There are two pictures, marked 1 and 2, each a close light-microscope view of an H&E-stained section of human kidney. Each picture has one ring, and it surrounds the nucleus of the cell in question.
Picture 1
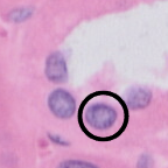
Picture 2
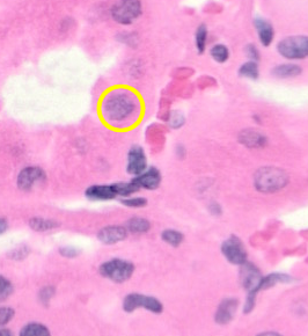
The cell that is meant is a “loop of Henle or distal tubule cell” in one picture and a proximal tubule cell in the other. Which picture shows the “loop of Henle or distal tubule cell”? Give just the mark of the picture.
1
